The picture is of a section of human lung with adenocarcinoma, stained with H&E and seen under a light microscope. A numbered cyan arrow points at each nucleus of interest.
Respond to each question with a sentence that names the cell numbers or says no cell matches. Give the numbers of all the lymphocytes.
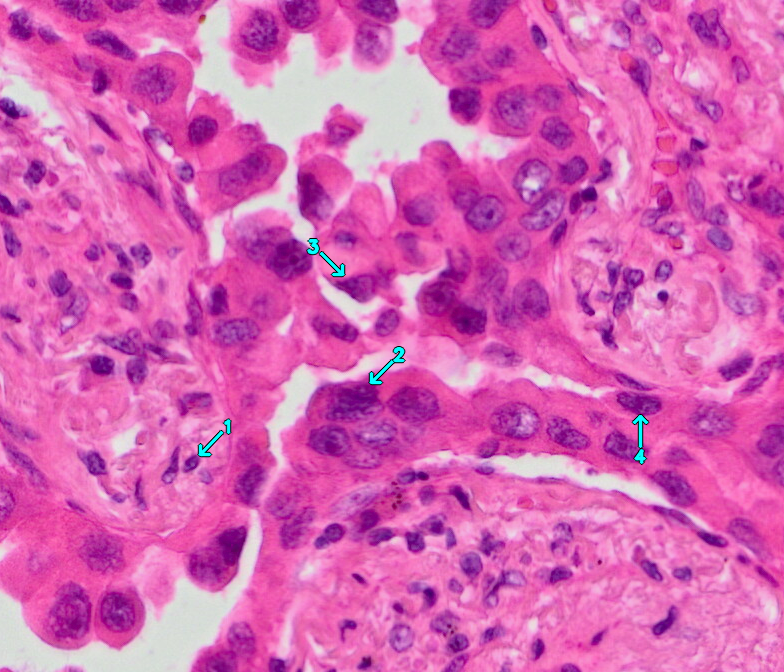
Cell 1 is a lymphocyte; no further numbered cell is.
